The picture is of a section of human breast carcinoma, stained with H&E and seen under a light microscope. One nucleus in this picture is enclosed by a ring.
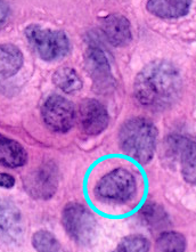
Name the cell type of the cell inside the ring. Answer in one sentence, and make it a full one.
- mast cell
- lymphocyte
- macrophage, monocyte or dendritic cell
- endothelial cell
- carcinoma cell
For cell typing purposes, the cell inside the ring is a carcinoma cell.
